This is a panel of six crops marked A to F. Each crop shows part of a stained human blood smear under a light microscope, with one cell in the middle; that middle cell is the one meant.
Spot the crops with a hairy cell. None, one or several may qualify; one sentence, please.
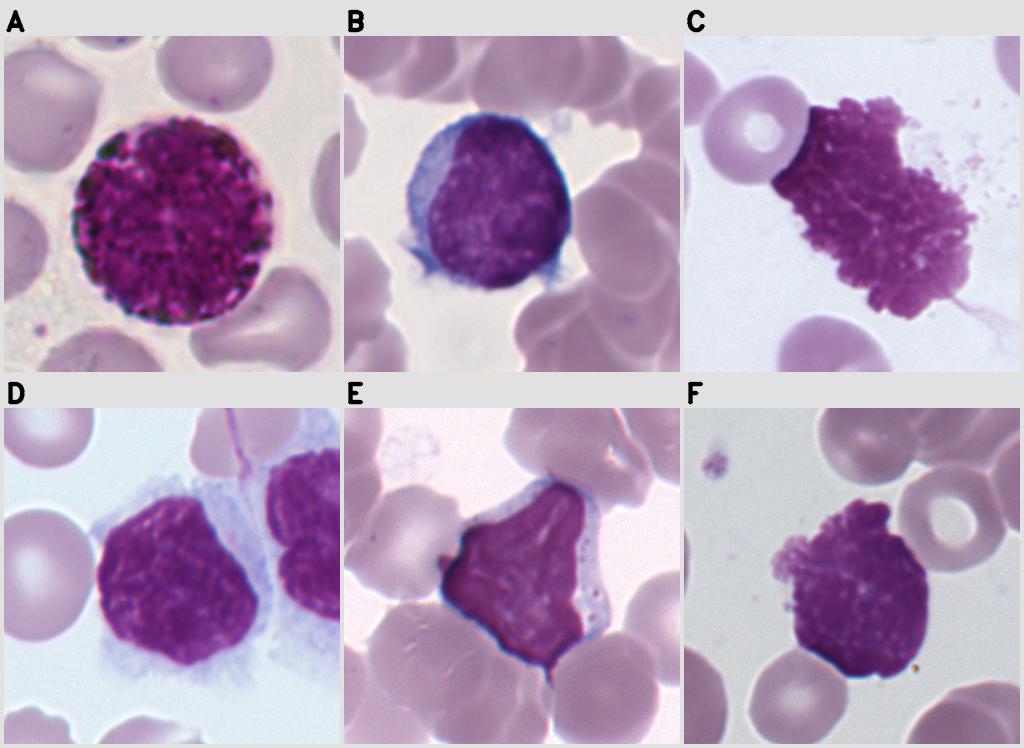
Every crop except crop D lacks a hairy cell.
